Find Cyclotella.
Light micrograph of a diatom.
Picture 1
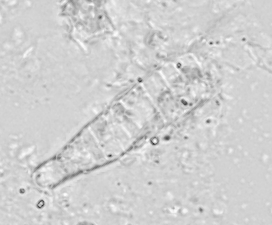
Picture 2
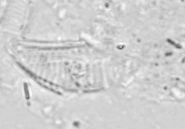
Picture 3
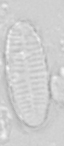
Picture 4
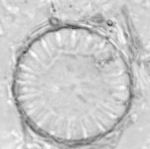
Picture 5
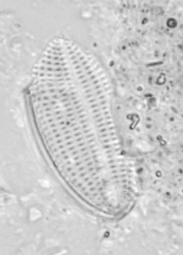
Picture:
4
